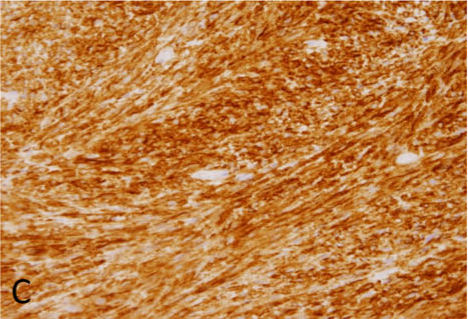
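The stained cells are elongated and packed closely in long parallel and intersecting fascicles, giving a streaming, fibrillar texture. Nuclei are largely obscured by the dense brown. Only a few small clear spaces, likely vessels or gaps, interrupt the stained tissue.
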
